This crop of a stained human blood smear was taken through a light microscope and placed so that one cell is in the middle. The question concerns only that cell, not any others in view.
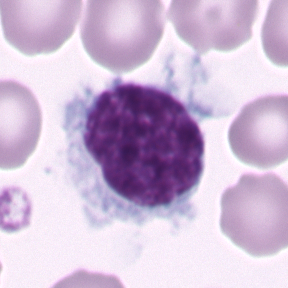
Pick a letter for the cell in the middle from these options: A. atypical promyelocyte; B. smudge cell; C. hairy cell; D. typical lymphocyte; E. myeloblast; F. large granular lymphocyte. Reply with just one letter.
C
